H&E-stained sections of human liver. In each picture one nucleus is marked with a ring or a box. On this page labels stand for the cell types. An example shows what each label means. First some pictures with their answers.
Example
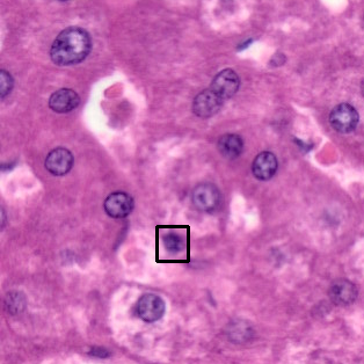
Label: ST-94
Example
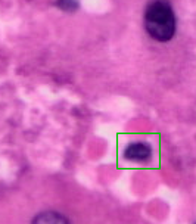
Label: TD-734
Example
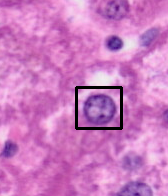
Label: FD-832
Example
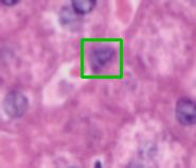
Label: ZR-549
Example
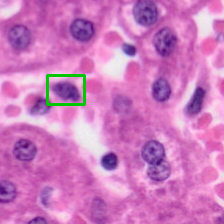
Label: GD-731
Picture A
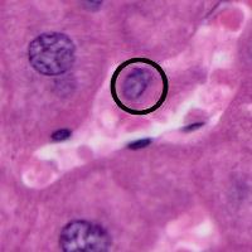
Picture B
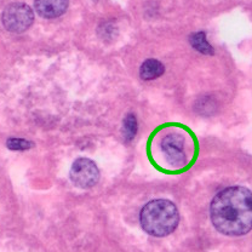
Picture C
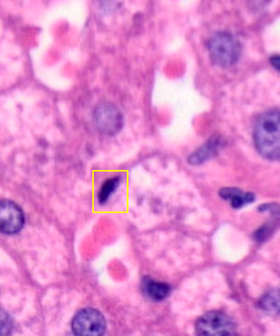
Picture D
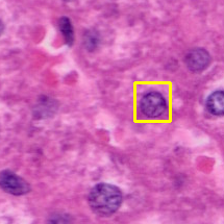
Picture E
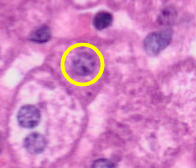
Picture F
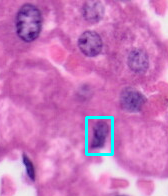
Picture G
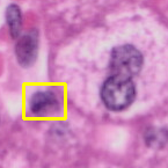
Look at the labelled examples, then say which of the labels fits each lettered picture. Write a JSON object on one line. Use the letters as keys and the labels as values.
{"A": "GD-731", "B": "GD-731", "C": "ST-94", "D": "FD-832", "E": "FD-832", "F": "ST-94", "G": "ST-94"}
